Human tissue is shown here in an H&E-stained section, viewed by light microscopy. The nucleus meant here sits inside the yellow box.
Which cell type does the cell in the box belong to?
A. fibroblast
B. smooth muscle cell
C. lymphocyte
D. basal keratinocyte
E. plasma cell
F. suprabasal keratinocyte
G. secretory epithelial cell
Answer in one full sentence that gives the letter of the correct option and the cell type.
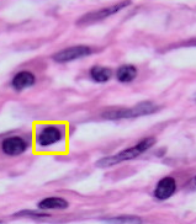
Among the choices, option E is correct, the cell in the box being a plasma cell.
